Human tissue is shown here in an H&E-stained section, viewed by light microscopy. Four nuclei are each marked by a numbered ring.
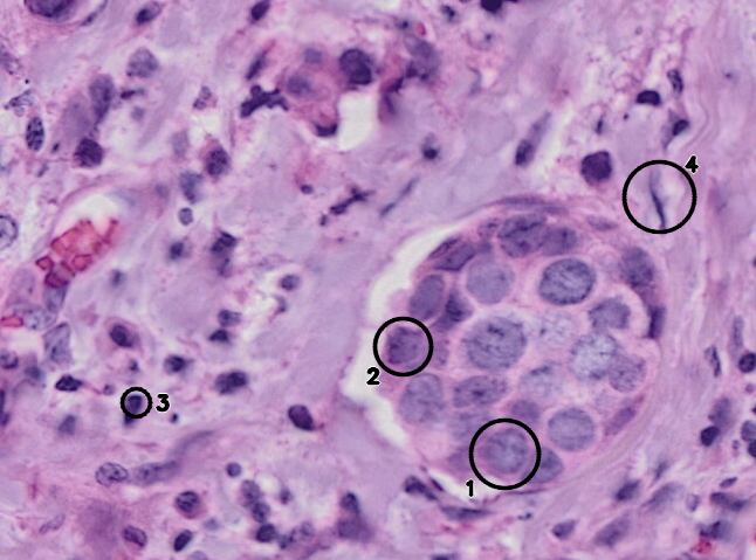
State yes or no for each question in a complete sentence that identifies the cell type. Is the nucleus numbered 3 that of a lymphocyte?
Yes, correct, the cell with the number 3 is a lymphocyte.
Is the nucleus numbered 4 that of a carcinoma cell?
No, cell 4 is a fibroblast, not a carcinoma cell.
